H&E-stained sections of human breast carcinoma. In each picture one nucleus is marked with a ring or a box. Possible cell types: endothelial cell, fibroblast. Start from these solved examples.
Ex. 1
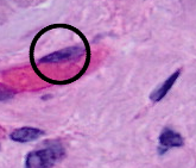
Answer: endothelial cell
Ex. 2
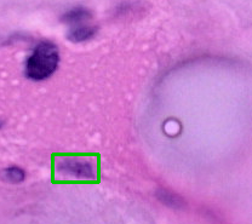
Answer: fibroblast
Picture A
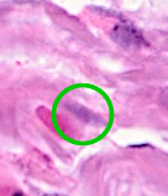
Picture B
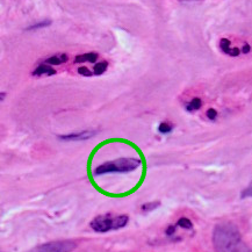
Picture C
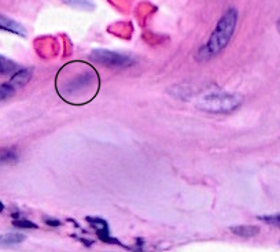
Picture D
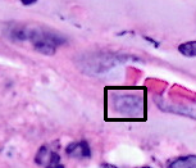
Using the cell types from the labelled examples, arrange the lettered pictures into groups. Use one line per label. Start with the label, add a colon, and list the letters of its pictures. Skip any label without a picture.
endothelial cell: C, D
fibroblast: A, B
